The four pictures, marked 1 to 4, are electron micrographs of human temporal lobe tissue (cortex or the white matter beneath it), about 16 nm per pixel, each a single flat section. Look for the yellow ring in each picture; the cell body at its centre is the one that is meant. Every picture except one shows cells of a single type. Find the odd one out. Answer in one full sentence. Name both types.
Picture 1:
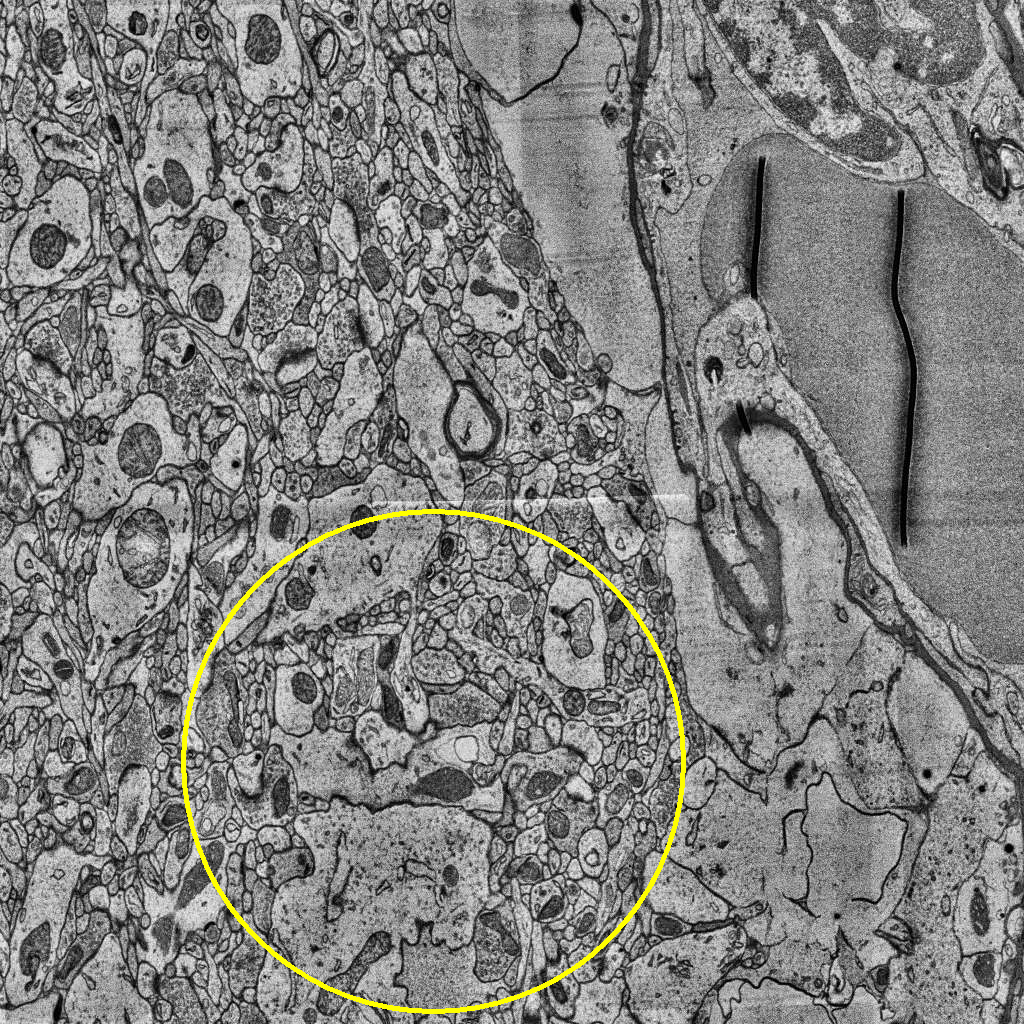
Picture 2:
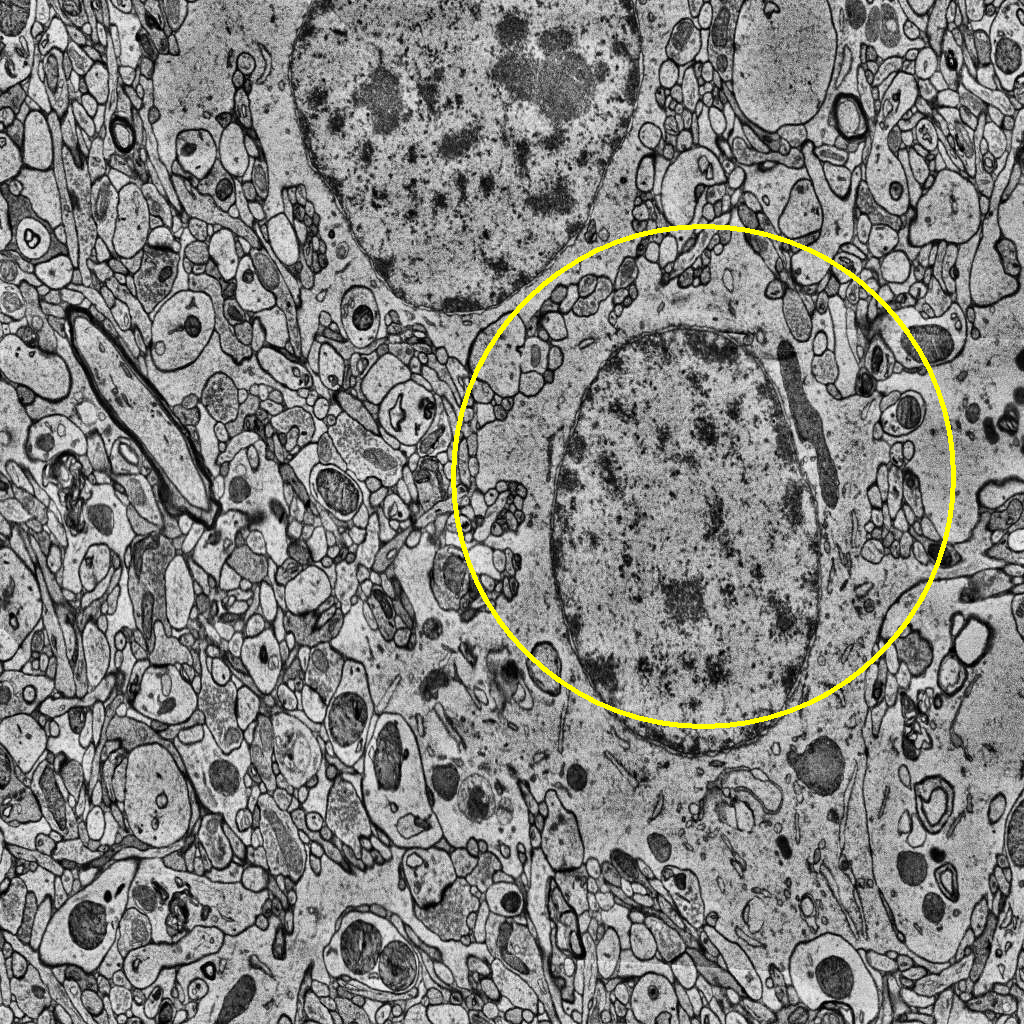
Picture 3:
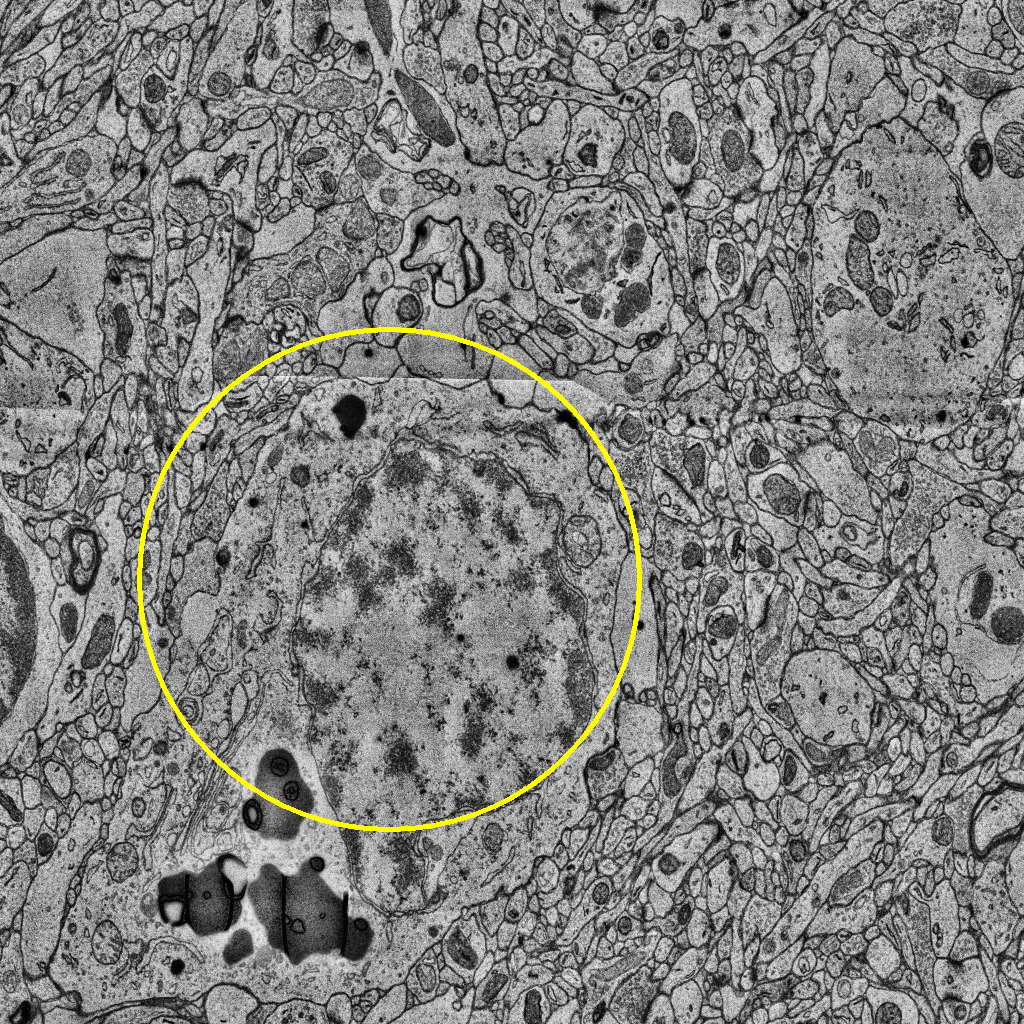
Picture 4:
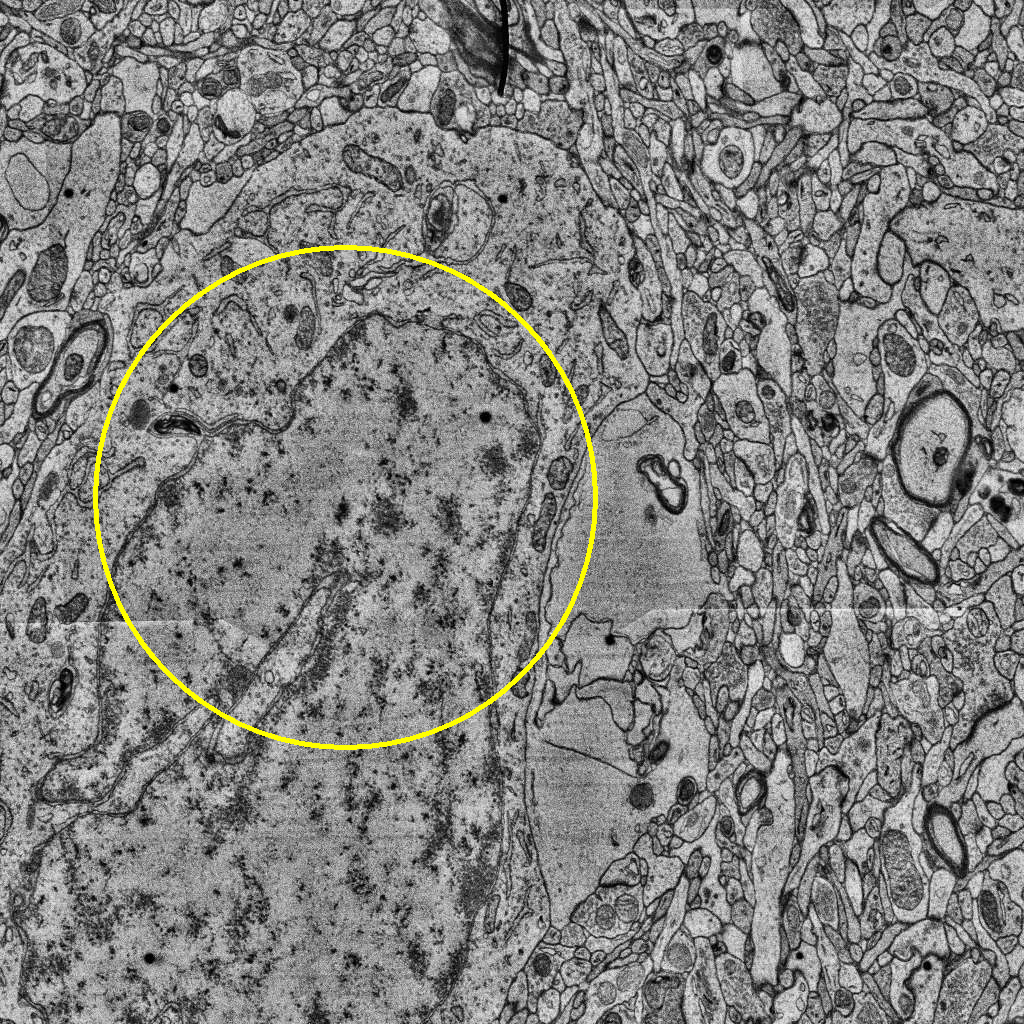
Picture 2 is the odd one out: it shows an astrocyte, while the others show interneurons.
